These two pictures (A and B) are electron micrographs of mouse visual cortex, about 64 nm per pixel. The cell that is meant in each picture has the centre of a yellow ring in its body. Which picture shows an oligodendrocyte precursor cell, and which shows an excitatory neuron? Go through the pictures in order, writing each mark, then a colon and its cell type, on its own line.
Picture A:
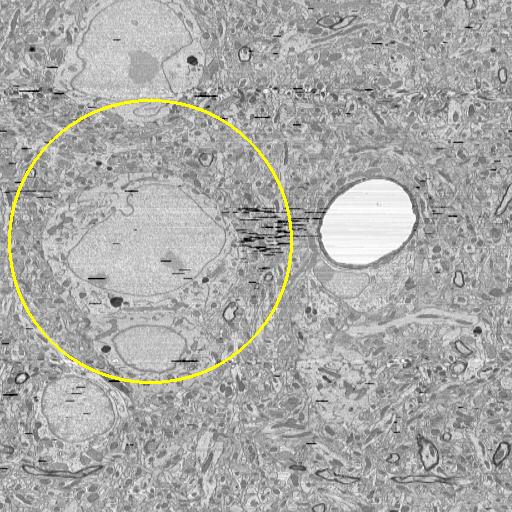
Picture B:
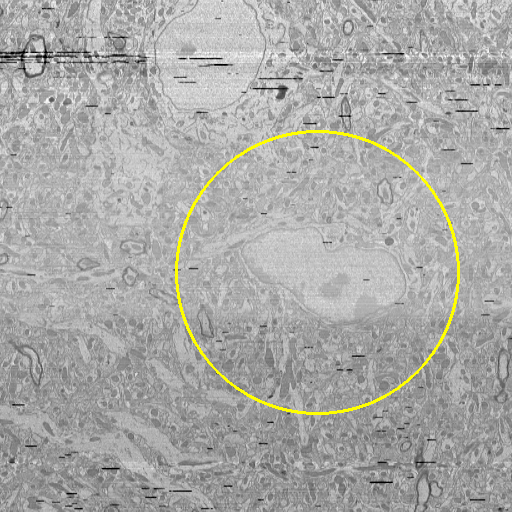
A: excitatory neuron
B: oligodendrocyte precursor cell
